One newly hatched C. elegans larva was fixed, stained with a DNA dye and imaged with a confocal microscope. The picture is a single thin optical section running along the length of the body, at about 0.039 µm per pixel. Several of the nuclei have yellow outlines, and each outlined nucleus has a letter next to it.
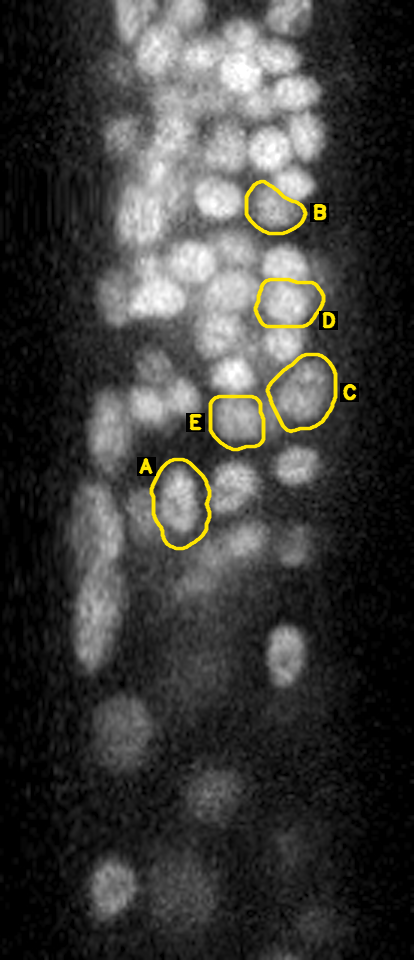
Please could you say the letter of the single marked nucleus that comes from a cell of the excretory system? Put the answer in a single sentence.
Of the marked nuclei, B is the one in a cell of the excretory system.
